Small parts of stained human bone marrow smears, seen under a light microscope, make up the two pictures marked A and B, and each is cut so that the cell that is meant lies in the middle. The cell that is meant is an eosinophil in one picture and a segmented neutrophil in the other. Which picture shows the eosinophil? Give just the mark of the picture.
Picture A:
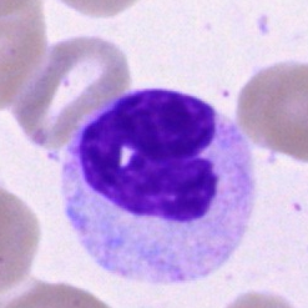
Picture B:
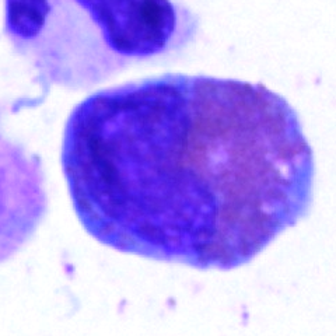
B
